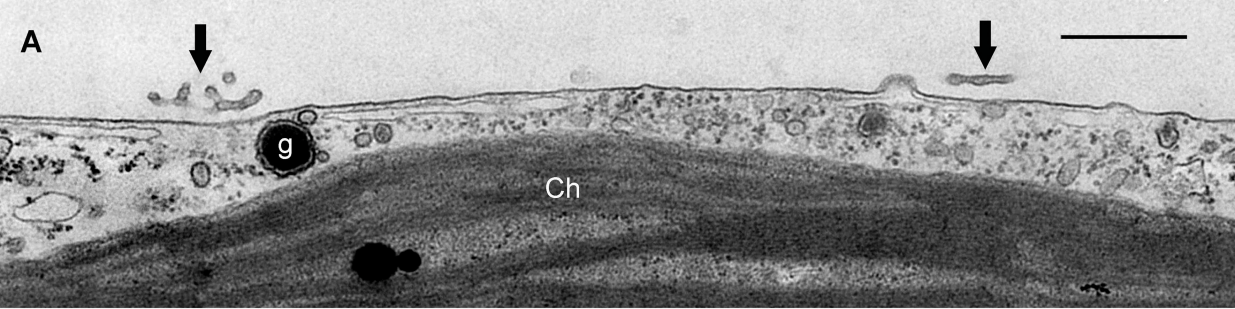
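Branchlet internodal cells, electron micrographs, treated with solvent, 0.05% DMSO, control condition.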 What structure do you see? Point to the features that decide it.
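The plasma membrane runs as a thin, even, unfolded line across the top of the cell. No large membrane labyrinths line the cell surface. The answer: Smooth plasma membrane.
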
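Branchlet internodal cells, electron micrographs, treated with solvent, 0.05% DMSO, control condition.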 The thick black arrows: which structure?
remnants of charasomes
